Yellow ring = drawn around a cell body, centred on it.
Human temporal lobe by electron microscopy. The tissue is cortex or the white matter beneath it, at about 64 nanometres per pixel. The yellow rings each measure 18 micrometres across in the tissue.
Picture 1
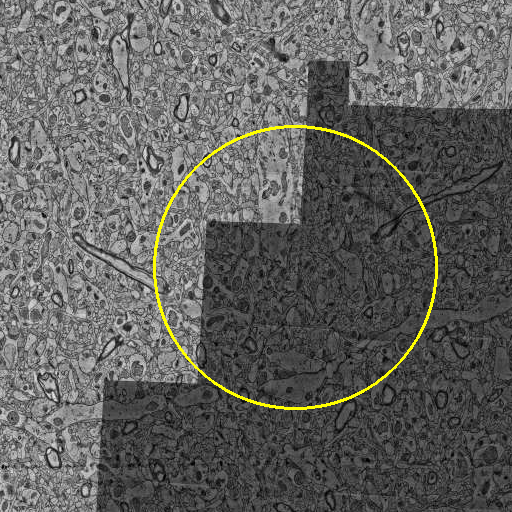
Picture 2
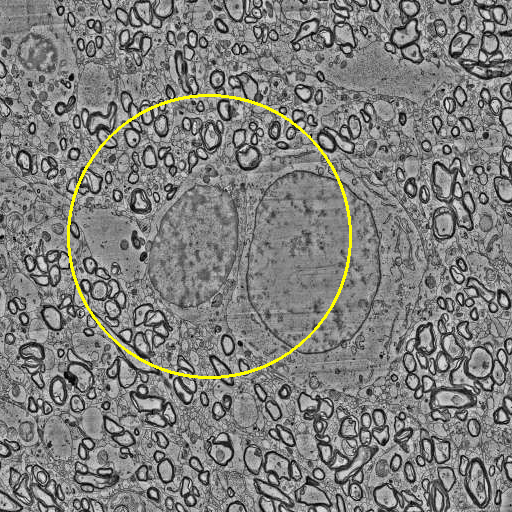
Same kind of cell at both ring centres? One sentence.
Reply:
No, they are two kinds of cell.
